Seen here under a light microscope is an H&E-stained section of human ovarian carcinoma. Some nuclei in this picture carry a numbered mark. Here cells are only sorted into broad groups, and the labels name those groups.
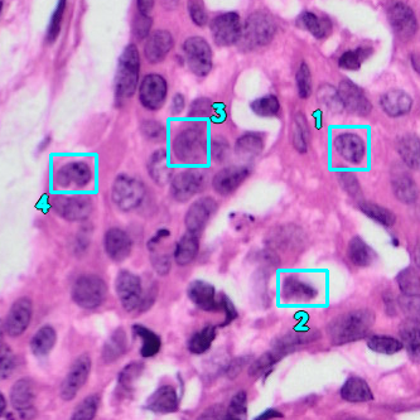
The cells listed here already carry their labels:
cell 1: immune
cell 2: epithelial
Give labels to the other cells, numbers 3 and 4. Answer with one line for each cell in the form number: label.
3: epithelial
4: immune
